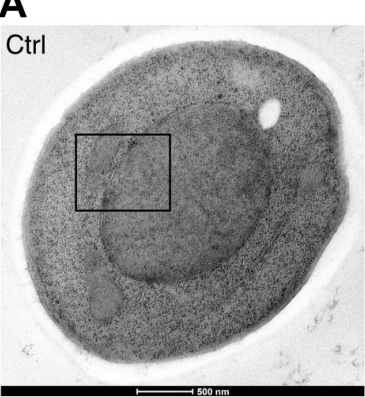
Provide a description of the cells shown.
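This electron micrograph shows a section through a yeast cell enclosed by a thick pale cell wall, its cytoplasm dense and finely granular with ribosomes. A large round nucleus lies centrally, outlined by the thin double membrane of the nuclear envelope. A few smaller rounded organelles and a small bright vacuole lie in the surrounding cytoplasm.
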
